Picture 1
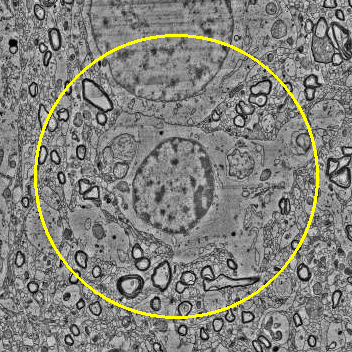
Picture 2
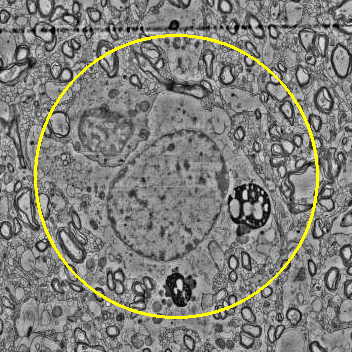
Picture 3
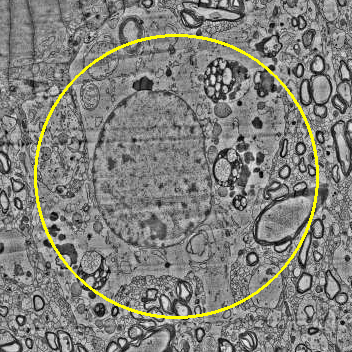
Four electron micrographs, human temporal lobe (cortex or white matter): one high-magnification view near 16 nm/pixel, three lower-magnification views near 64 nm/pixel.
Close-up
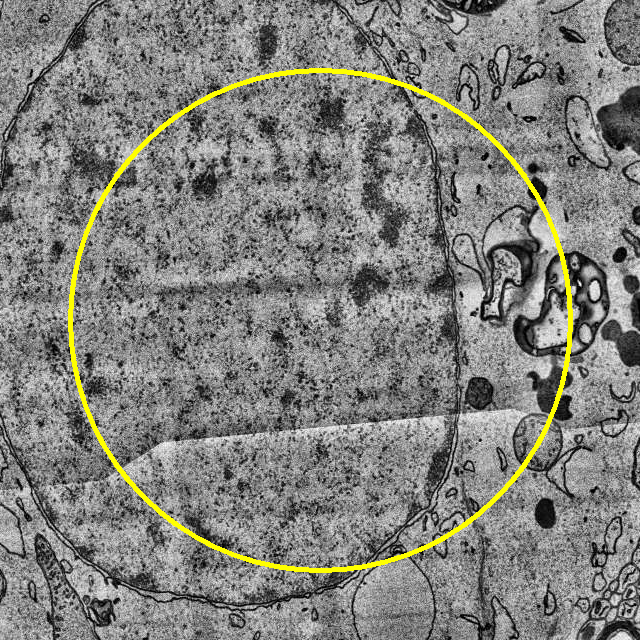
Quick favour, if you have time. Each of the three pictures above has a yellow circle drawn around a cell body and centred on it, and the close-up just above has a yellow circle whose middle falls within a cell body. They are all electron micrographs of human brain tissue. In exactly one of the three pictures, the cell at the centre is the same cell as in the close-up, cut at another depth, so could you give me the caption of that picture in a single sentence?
The cell pictured in the close-up is ringed in Picture 3.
